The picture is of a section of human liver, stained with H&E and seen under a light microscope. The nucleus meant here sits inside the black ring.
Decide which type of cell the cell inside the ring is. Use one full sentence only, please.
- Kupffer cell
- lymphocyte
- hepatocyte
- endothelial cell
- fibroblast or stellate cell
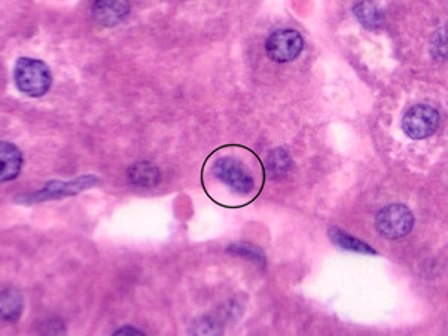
In this preparation, the cell inside the ring is a fibroblast or stellate cell.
